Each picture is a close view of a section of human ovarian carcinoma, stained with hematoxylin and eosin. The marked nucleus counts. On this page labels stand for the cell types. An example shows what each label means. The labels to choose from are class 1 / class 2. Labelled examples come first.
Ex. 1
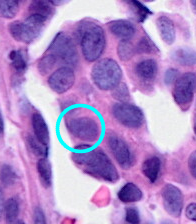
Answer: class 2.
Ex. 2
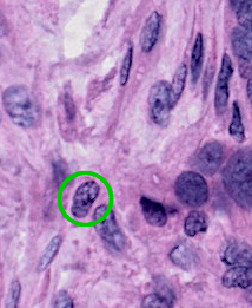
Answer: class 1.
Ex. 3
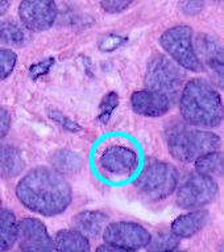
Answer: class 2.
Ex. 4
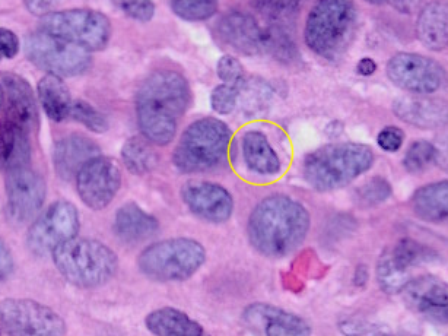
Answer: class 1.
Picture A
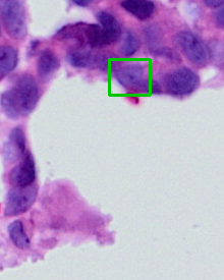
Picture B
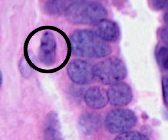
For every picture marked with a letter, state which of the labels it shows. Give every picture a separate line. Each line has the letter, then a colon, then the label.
A: class 2.
B: class 1.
